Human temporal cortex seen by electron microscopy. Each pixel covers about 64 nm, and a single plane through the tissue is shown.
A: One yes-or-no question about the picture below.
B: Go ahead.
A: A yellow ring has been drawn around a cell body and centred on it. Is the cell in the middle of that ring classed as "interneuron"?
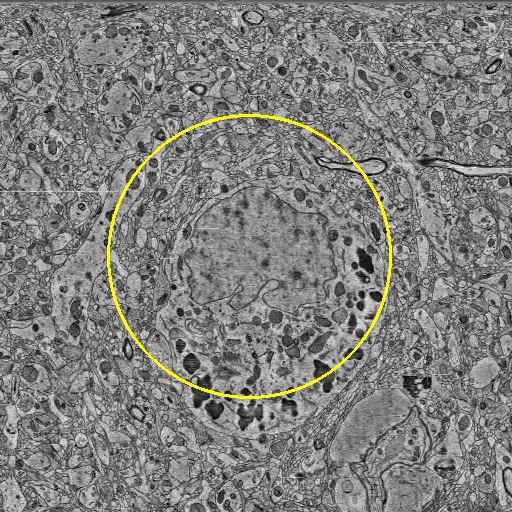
Yes, it is classed that way.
